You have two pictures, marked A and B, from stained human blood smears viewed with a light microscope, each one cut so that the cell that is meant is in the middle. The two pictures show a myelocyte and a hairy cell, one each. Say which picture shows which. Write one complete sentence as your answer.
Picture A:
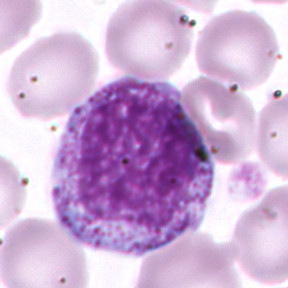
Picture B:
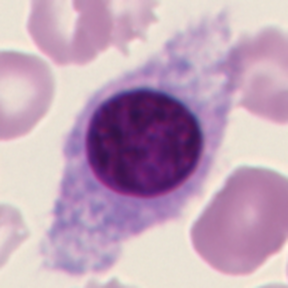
Picture B shows a hairy cell, while picture A shows a myelocyte.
